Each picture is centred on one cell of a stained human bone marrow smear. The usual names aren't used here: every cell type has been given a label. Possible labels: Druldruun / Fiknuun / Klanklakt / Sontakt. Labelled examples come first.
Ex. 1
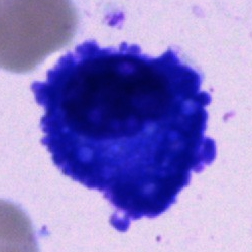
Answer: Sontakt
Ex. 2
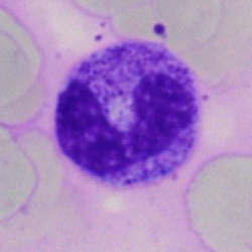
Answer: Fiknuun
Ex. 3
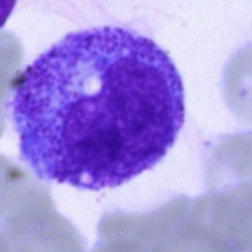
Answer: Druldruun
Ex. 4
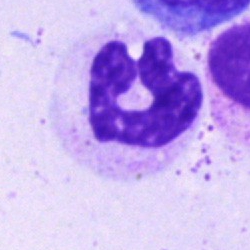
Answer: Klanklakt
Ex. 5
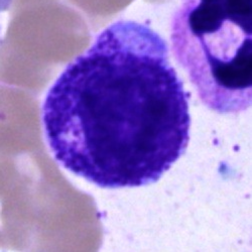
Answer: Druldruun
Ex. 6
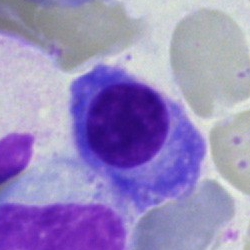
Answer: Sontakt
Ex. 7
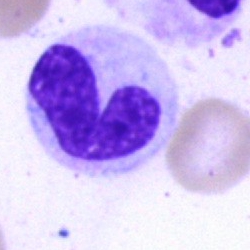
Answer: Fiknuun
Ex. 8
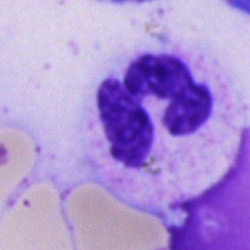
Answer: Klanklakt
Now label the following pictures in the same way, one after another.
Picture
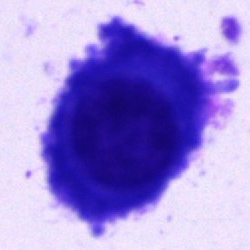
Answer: Sontakt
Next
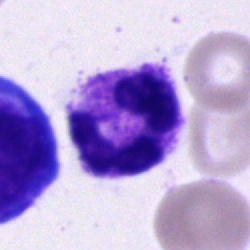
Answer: Klanklakt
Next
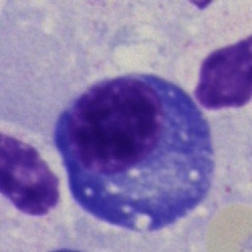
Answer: Sontakt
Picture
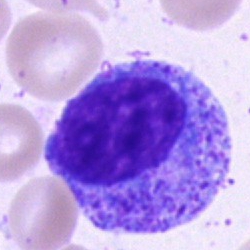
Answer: Druldruun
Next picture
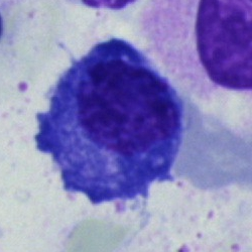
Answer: Sontakt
